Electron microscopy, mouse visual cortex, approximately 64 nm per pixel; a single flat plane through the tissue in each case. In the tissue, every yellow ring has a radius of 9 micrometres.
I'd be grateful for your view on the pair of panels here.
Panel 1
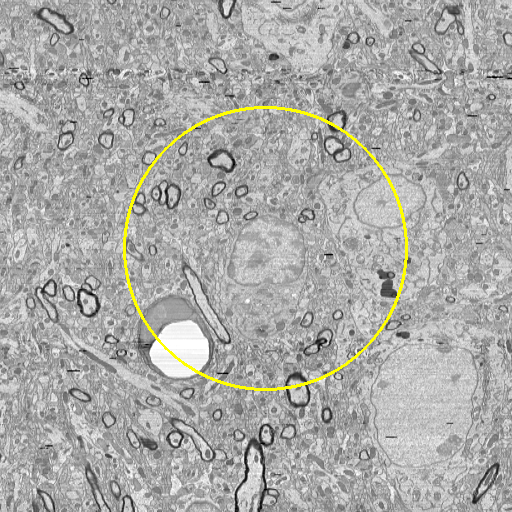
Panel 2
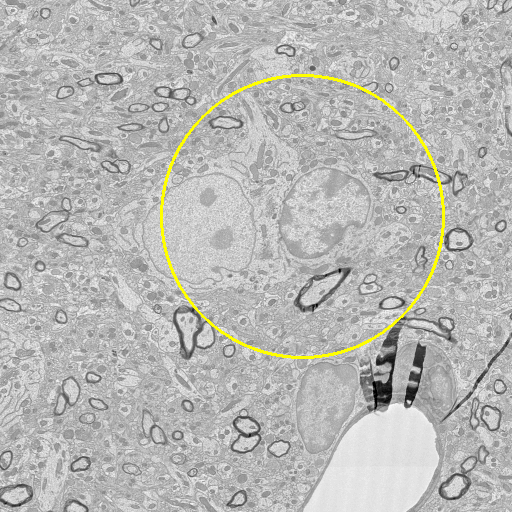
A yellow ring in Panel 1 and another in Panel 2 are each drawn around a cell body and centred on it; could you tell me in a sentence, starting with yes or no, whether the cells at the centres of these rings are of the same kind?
Yes, they are the same kind of cell.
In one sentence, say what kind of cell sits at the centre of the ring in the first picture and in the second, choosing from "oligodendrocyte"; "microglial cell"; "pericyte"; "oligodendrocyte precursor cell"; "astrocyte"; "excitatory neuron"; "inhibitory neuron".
In each of the two pictures, the ringed cell is an oligodendrocyte.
